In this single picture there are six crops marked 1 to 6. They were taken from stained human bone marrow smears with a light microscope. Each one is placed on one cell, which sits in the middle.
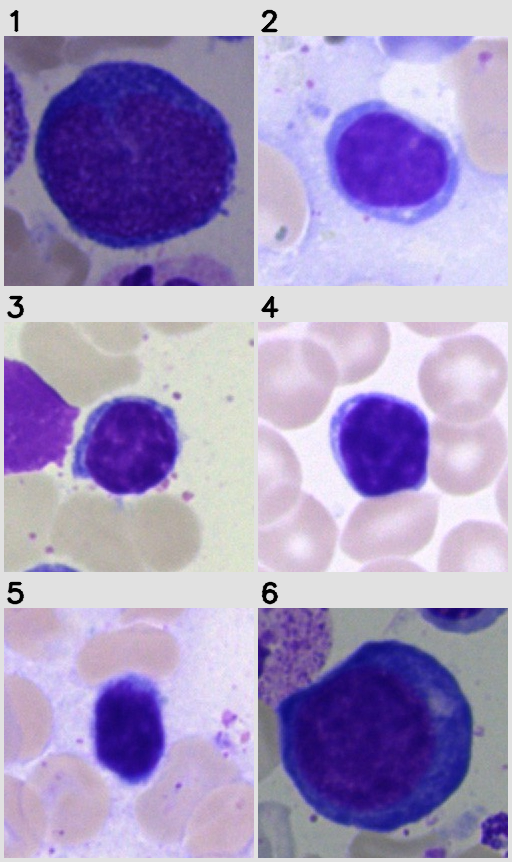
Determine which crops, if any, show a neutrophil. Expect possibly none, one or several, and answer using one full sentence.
At the centre of each crop lies a cell that is not a neutrophil.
